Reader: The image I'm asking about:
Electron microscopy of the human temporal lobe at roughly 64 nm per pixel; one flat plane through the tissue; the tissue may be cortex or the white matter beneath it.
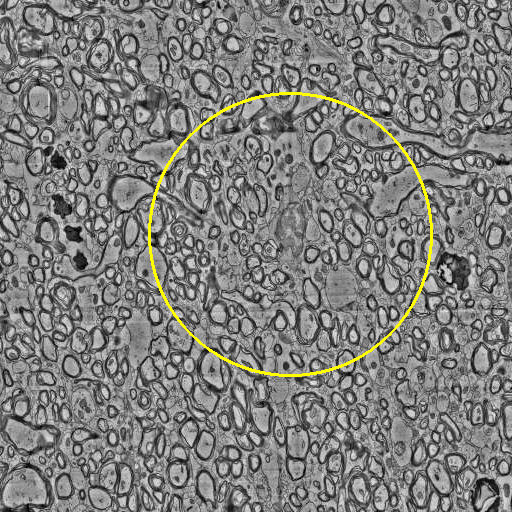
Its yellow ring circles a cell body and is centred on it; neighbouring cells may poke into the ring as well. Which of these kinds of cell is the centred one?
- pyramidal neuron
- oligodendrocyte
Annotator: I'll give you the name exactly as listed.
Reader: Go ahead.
oligodendrocyte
